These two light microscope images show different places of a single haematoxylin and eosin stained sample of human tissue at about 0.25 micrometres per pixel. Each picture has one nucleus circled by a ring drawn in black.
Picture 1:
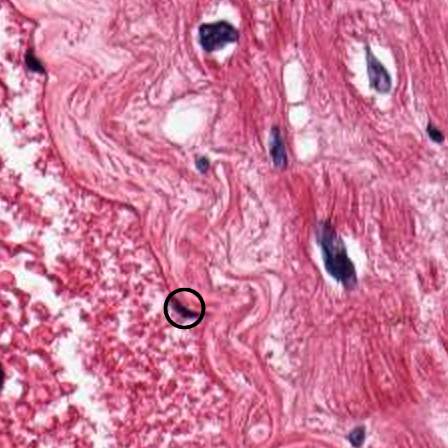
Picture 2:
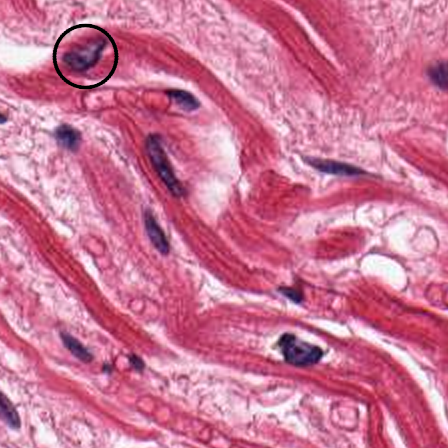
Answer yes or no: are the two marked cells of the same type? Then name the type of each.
No, the first is an endothelial cell and the second a cardiomyocyte.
